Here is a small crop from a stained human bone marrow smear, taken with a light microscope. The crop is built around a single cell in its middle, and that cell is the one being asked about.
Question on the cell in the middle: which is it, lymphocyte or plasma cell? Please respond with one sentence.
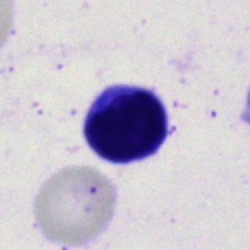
As for the central cell, it is a lymphocyte.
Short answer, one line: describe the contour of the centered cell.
Around its whole circumference the outline stays smooth, free of projections.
